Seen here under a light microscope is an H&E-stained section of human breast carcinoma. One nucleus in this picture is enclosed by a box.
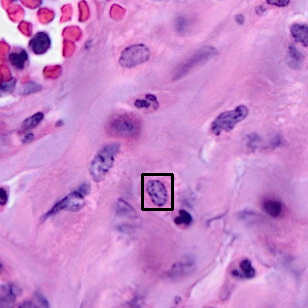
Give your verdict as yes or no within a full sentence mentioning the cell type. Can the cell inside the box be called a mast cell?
Yes, the cell inside the box is properly called a mast cell in this section.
